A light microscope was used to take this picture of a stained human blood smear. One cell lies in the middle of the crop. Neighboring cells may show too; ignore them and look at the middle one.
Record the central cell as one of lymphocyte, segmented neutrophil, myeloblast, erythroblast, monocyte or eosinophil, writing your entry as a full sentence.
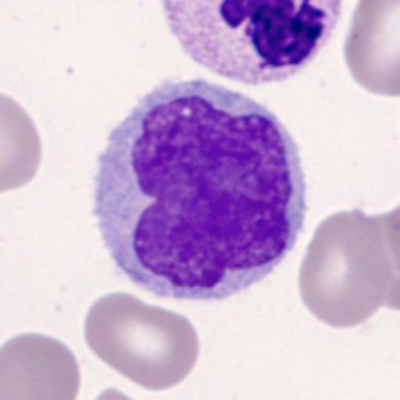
By type, the central cell of the crop is a myeloblast.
